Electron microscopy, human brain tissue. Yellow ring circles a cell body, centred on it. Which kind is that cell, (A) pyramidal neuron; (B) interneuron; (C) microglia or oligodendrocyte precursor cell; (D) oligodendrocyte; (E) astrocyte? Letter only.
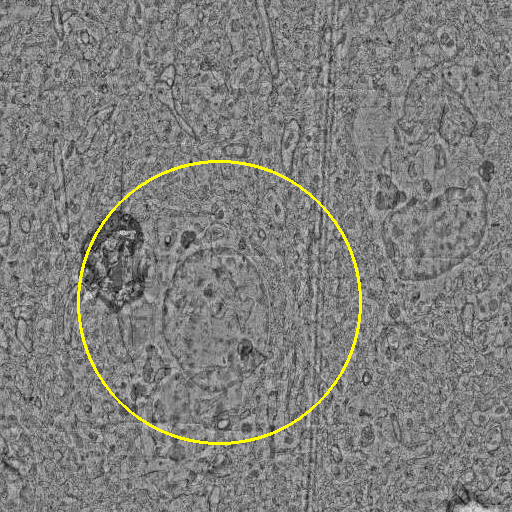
E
